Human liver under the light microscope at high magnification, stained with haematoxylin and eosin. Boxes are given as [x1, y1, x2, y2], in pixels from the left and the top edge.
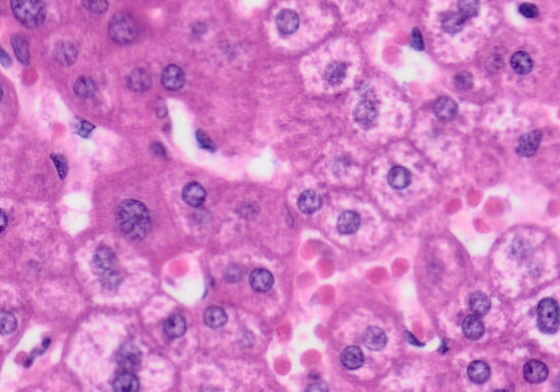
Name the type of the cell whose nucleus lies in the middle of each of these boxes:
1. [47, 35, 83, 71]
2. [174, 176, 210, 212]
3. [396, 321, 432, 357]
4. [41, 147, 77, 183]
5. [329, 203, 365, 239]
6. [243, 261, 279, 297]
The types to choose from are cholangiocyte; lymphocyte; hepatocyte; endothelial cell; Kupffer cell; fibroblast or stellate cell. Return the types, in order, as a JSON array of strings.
["hepatocyte", "hepatocyte", "endothelial cell", "fibroblast or stellate cell", "hepatocyte", "hepatocyte"]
